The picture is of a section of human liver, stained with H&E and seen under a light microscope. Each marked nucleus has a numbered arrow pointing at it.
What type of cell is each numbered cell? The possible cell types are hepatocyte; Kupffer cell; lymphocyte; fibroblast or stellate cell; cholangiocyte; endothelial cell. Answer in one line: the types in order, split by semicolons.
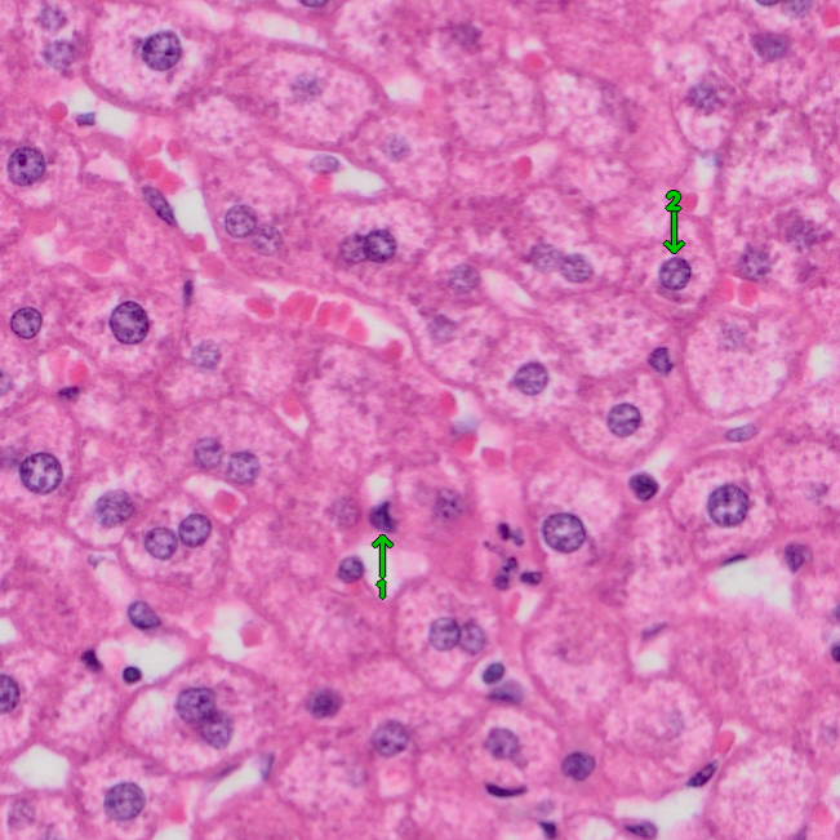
fibroblast or stellate cell; hepatocyte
